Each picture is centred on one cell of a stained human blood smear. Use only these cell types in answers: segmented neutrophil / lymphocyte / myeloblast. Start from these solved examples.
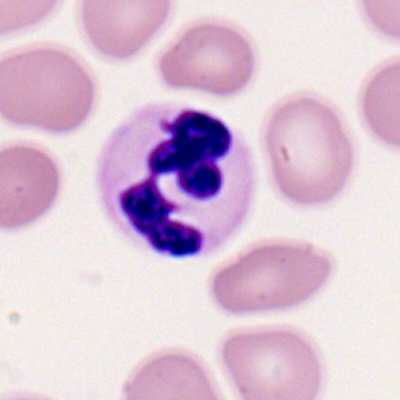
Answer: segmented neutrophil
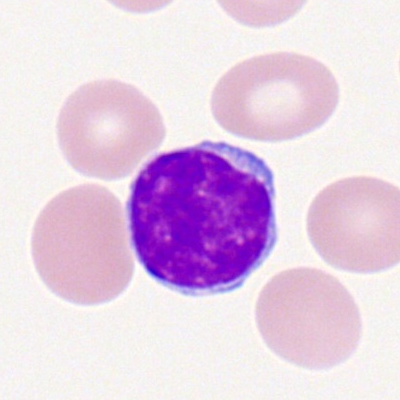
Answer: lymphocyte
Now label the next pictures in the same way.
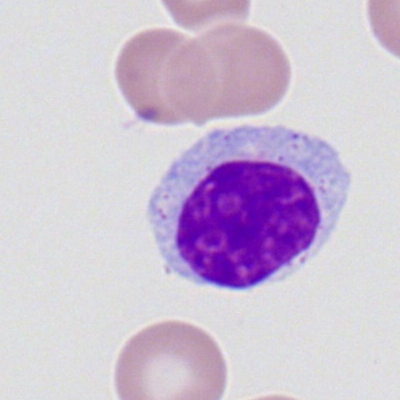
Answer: lymphocyte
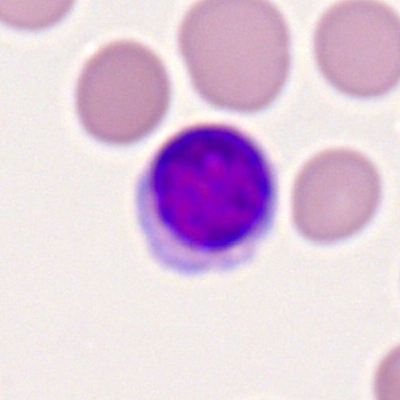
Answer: lymphocyte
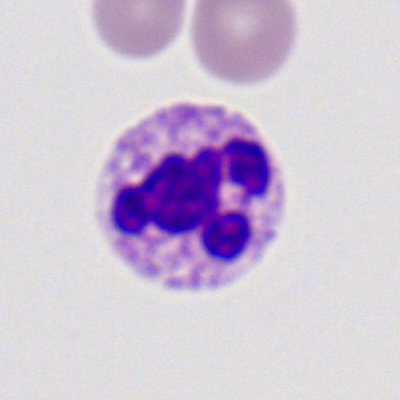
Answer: segmented neutrophil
